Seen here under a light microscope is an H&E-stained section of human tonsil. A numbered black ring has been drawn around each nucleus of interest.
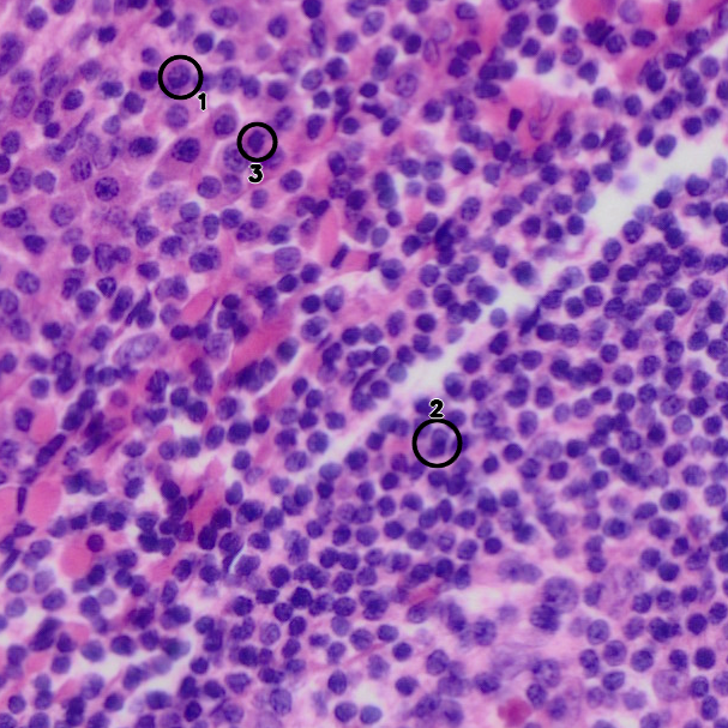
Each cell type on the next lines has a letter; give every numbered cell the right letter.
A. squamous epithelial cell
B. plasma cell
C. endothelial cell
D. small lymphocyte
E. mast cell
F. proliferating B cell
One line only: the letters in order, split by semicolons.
B; D; B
